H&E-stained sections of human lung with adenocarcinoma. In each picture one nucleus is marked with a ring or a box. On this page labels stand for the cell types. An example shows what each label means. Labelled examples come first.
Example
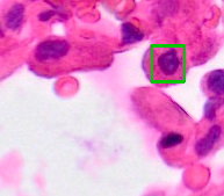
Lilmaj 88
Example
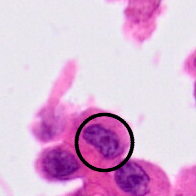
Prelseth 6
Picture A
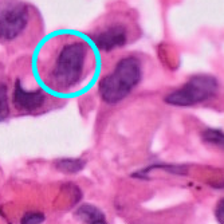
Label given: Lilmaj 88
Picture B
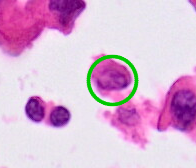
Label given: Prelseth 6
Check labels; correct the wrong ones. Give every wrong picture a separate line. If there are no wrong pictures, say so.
A: Prelseth 6, not Lilmaj 88
B: Lilmaj 88, not Prelseth 6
